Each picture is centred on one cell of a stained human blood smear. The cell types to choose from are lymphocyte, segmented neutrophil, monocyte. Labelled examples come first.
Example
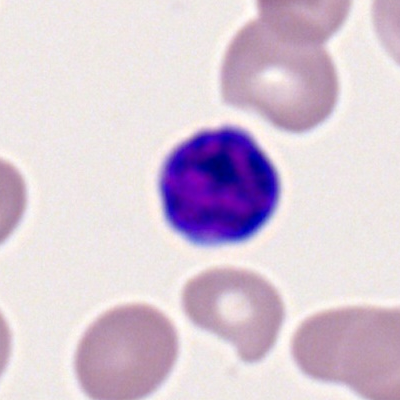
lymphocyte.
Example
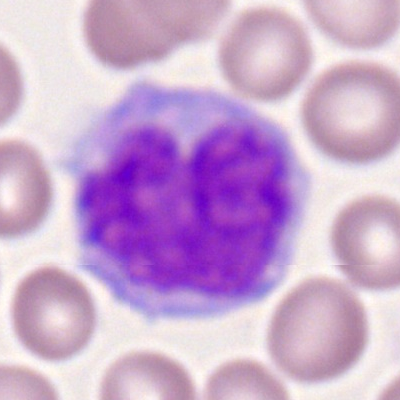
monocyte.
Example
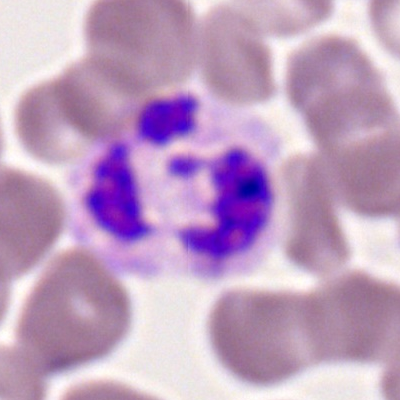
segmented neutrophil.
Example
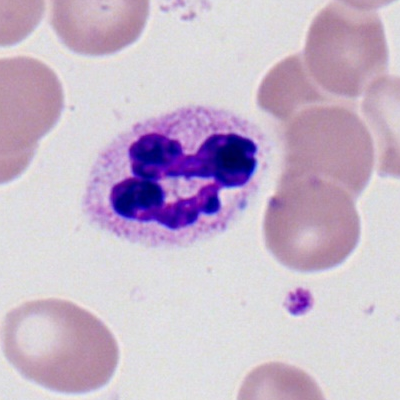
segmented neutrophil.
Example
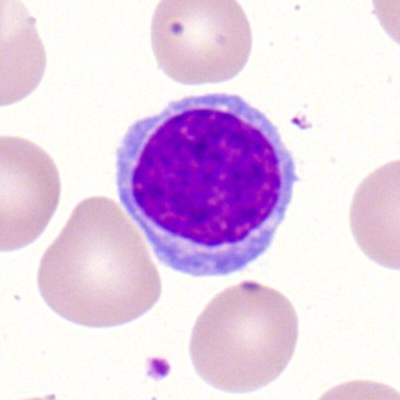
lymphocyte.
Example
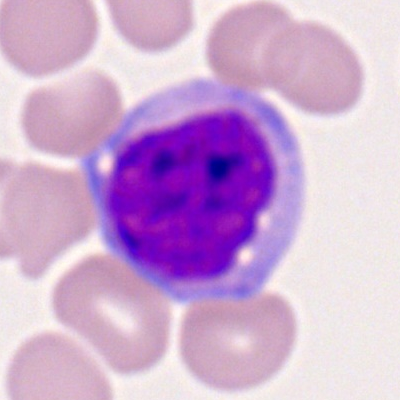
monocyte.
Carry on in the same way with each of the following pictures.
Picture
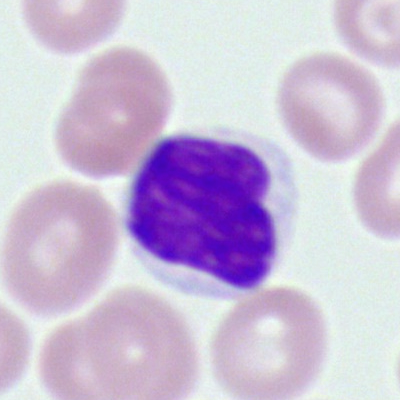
lymphocyte.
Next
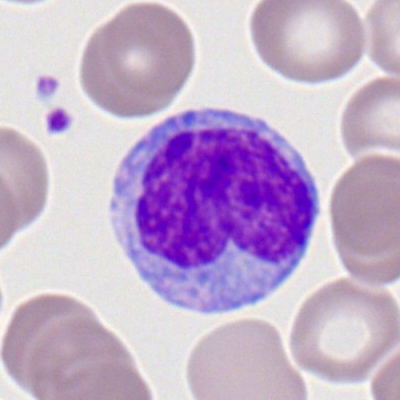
monocyte.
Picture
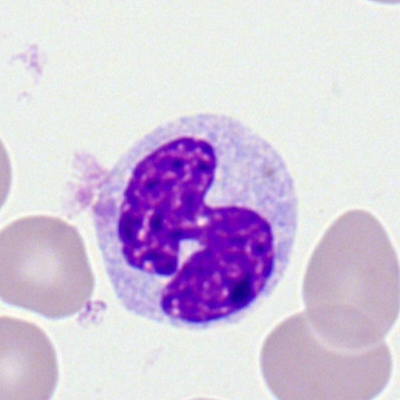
monocyte.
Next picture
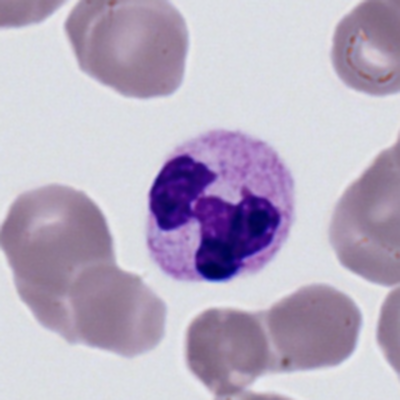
segmented neutrophil.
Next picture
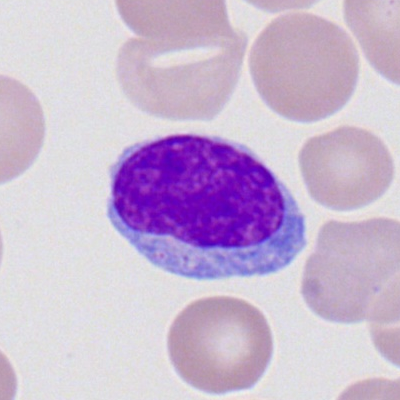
lymphocyte.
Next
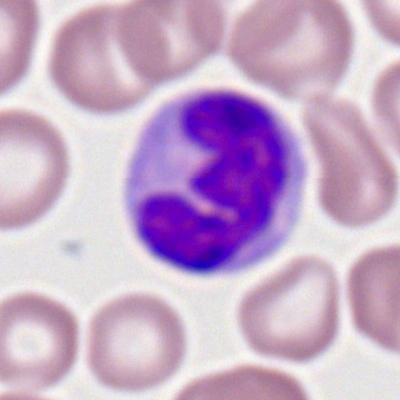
monocyte.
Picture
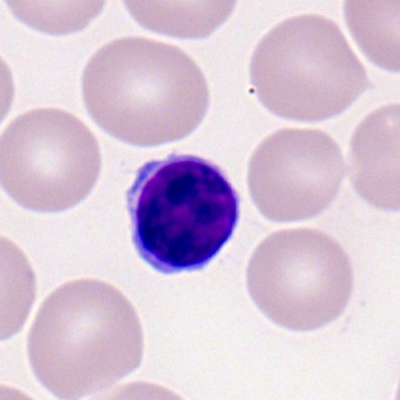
lymphocyte.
